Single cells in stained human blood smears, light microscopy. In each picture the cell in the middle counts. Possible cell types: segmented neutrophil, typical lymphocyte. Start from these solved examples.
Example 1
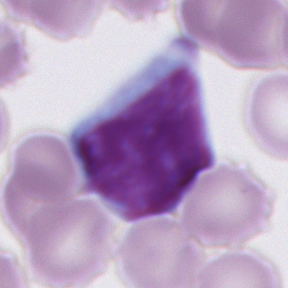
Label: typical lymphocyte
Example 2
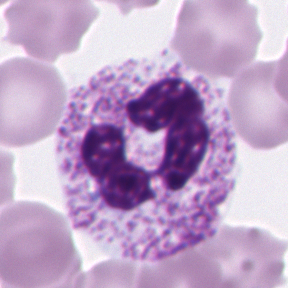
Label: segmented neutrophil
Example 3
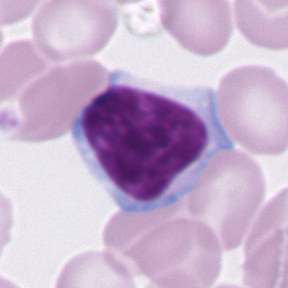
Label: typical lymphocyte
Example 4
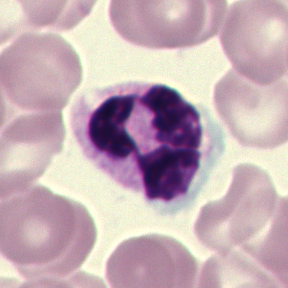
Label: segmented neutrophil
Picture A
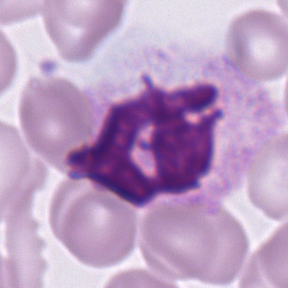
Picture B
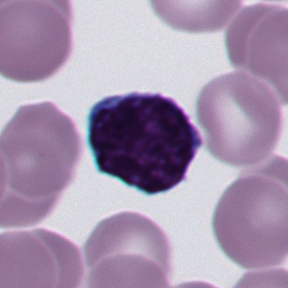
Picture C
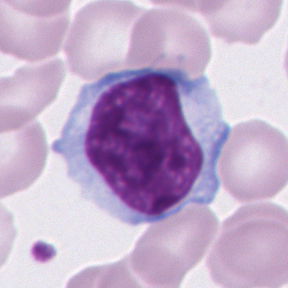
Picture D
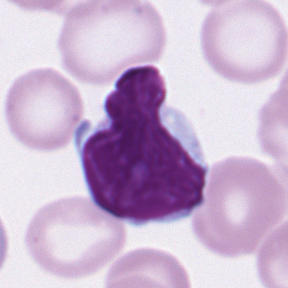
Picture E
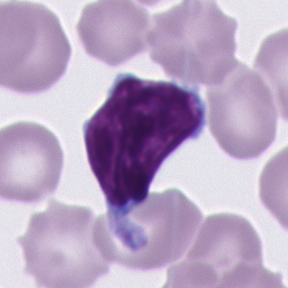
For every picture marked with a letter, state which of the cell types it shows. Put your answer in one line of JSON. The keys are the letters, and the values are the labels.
{"A": "segmented neutrophil", "B": "typical lymphocyte", "C": "typical lymphocyte", "D": "typical lymphocyte", "E": "typical lymphocyte"}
